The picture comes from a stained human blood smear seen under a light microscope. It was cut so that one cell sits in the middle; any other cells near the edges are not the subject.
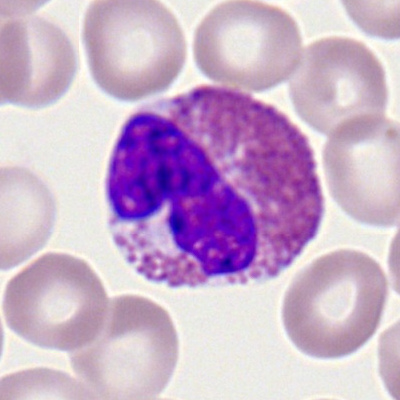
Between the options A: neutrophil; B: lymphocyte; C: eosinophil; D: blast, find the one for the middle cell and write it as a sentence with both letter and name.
The cell at the centre is an eosinophil, and option C accordingly is correct.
